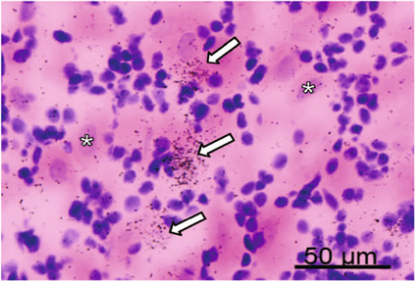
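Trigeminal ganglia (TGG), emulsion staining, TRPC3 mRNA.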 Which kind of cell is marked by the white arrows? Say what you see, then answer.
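Small and medium diameter neurons. The arrowed cells are round cell bodies larger than the surrounding small dark-blue nuclei. Black silver grains cluster over the arrowed cell bodies. Larger pale pink cell bodies without grain clusters lie nearby.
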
